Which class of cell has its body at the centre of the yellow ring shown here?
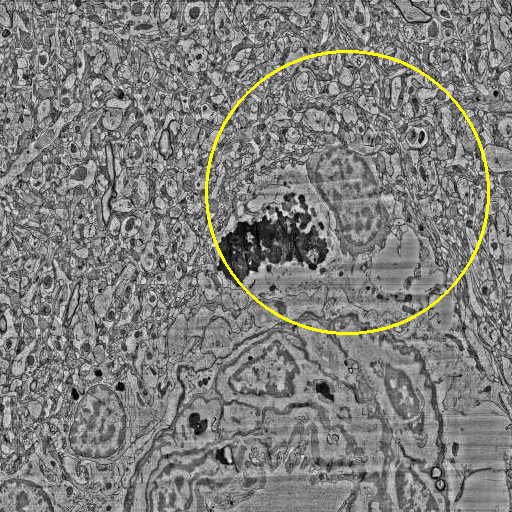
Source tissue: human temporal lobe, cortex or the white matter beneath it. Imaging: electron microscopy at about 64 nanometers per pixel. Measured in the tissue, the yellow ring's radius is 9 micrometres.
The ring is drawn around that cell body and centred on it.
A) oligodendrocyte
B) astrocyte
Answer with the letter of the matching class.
A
